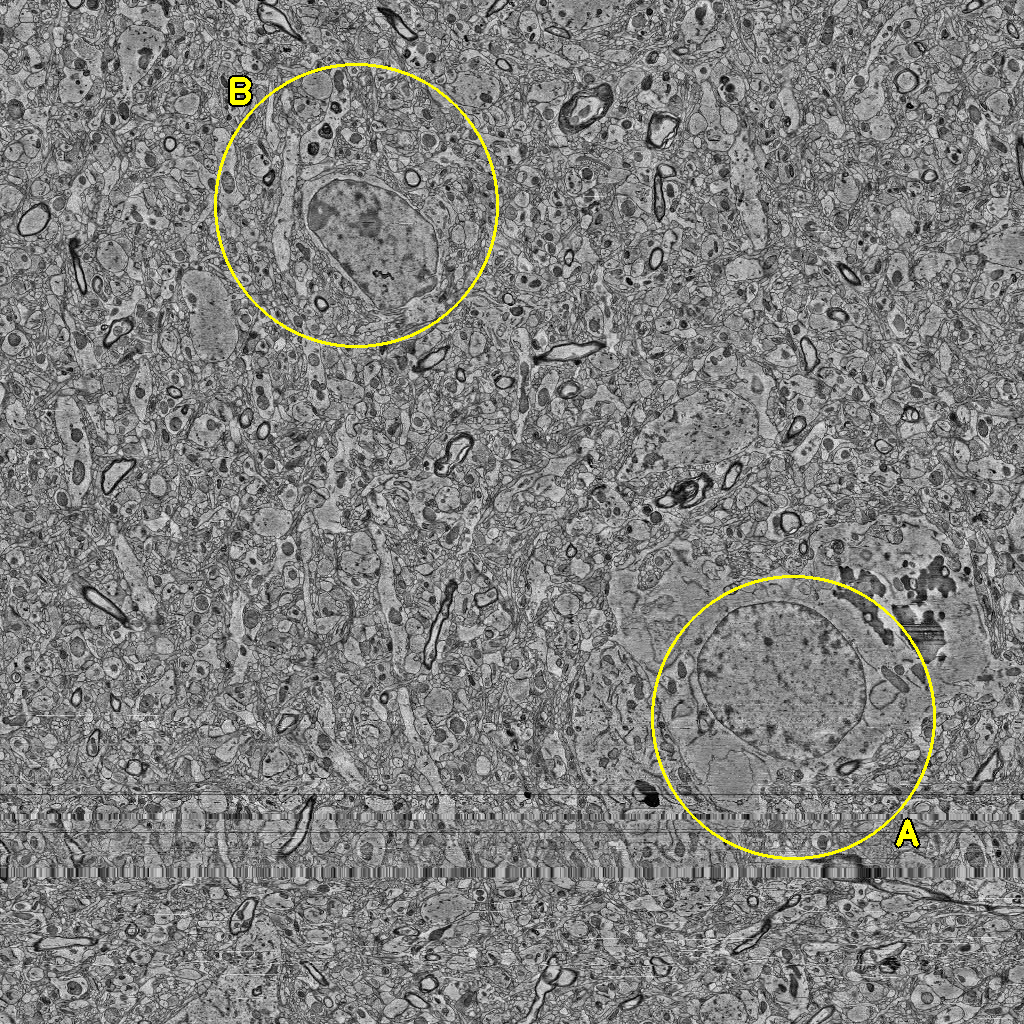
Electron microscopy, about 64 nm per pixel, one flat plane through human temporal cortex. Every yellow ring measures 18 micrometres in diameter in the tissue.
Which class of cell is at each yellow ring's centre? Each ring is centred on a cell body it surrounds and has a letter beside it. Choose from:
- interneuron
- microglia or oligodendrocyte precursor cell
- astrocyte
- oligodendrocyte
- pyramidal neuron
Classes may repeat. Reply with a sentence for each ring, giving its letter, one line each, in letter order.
The ring lettered A is centred on an astrocyte.
The ring lettered B is centred on a microglial cell or oligodendrocyte precursor cell.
